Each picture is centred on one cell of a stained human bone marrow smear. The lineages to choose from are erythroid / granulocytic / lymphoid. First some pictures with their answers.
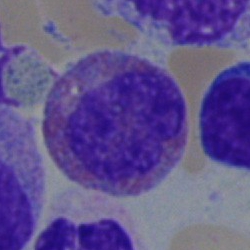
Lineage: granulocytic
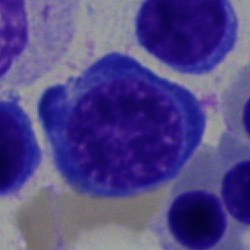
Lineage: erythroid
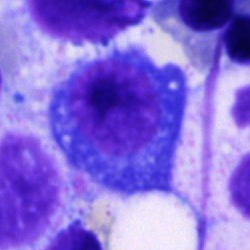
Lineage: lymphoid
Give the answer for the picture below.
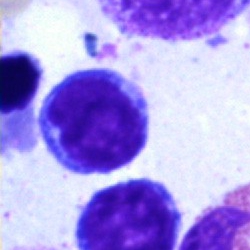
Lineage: lymphoid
